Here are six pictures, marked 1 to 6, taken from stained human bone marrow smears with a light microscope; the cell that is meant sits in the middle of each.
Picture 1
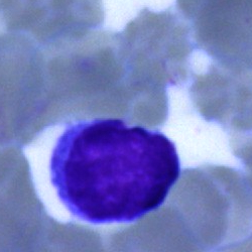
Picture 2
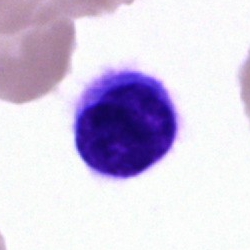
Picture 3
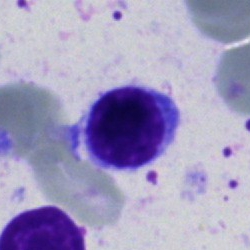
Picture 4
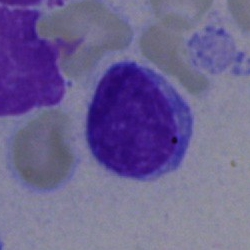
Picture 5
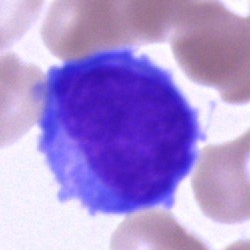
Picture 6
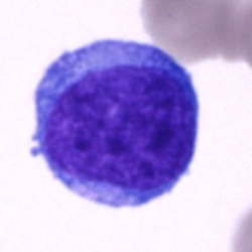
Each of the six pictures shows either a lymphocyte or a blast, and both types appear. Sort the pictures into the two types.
1: lymphocyte
2: lymphocyte
3: lymphocyte
4: lymphocyte
5: blast
6: blast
